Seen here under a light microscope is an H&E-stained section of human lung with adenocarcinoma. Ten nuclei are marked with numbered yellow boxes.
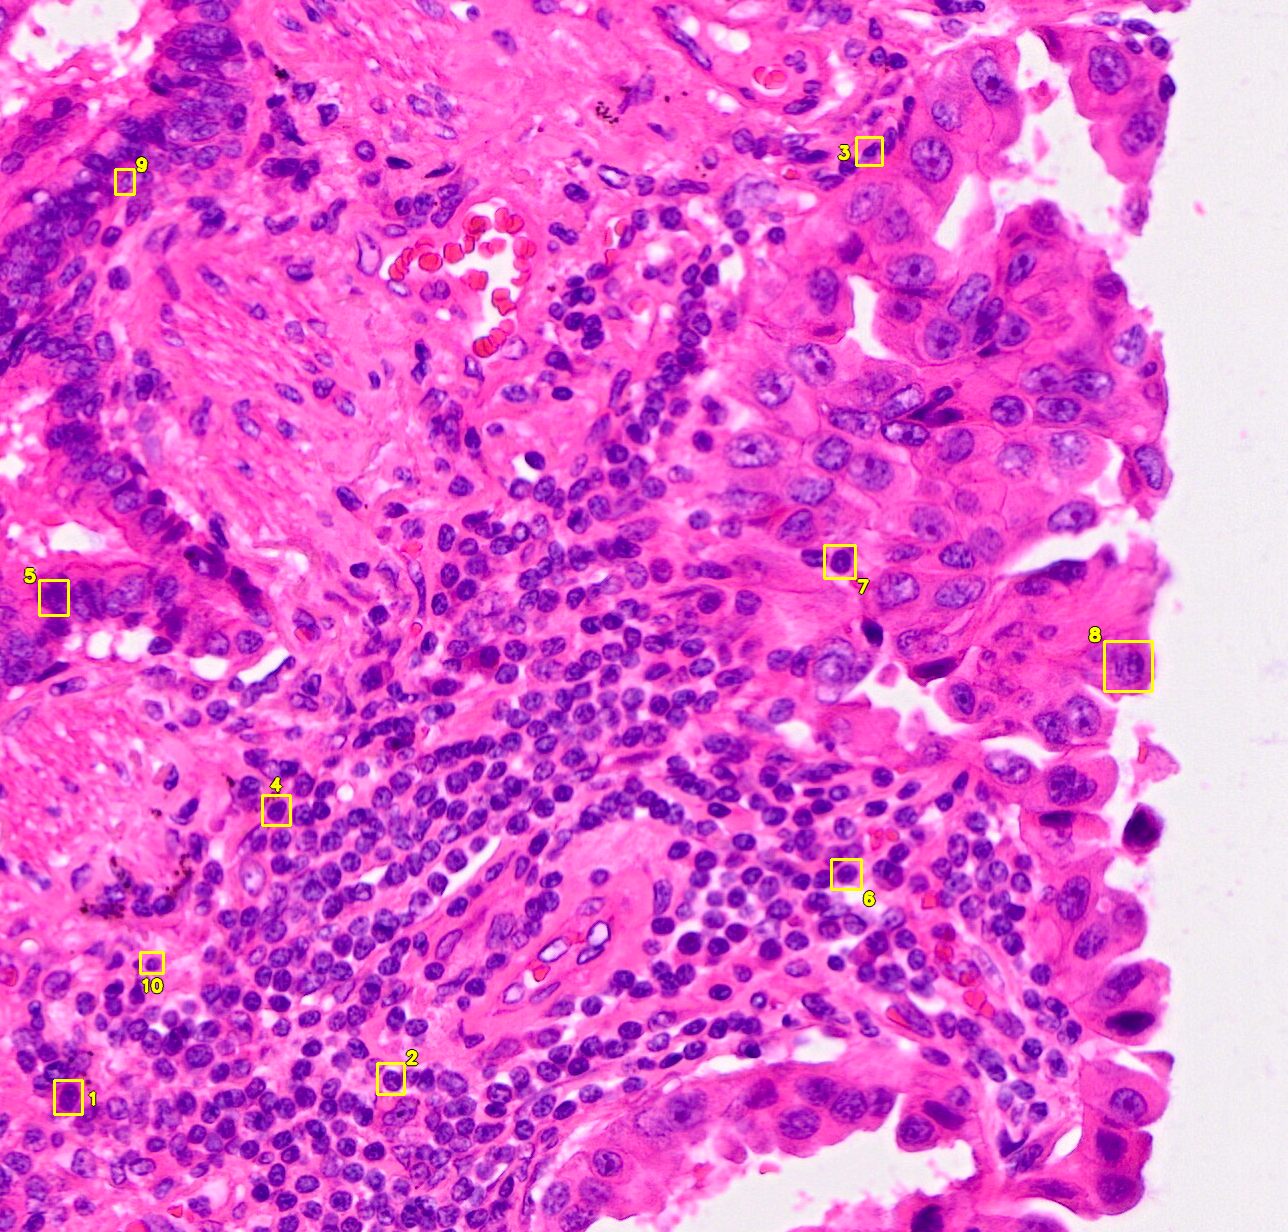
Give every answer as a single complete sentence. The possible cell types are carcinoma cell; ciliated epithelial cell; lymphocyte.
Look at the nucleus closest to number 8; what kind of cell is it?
Number 8 lies closest to the nucleus of a carcinoma cell.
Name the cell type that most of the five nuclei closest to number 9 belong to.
Around number 9, most of the five nearest nuclei are those of ciliated epithelial cells.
